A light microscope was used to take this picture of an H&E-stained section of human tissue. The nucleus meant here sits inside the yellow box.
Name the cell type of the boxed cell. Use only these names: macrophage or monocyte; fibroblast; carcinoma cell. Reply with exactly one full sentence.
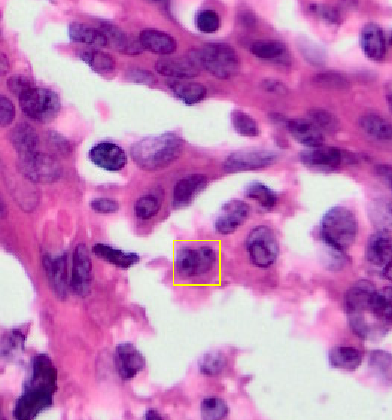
Within the stained tissue, the boxed cell is a macrophage or monocyte.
